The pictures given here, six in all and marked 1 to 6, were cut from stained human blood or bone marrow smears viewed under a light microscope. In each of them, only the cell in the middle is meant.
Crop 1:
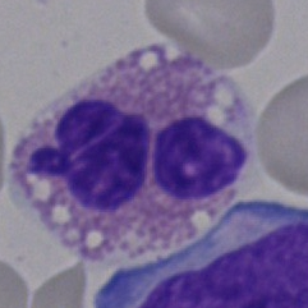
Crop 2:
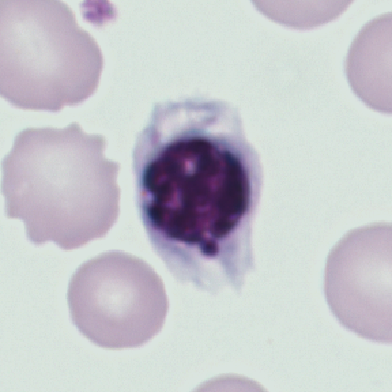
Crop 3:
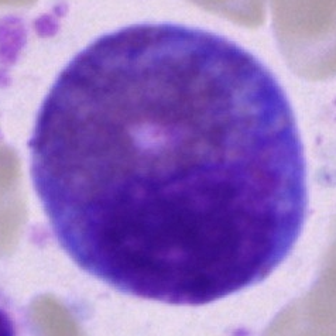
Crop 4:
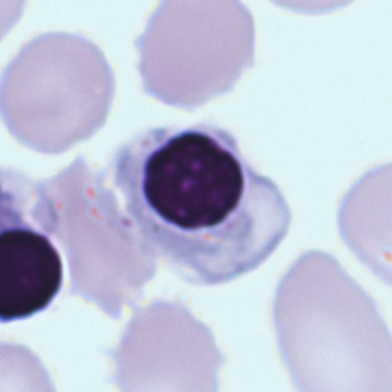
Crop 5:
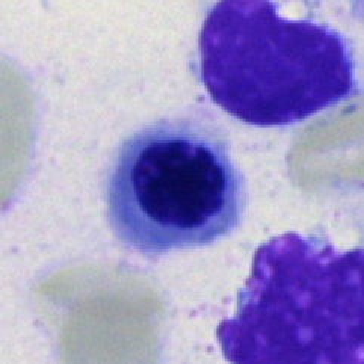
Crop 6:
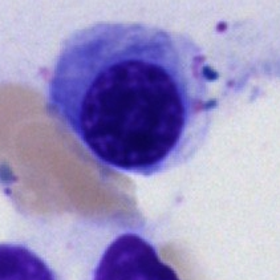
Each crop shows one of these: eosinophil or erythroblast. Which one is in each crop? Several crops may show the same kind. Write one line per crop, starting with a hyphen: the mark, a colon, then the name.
- 1: eosinophil
- 2: erythroblast
- 3: eosinophil
- 4: erythroblast
- 5: erythroblast
- 6: erythroblast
